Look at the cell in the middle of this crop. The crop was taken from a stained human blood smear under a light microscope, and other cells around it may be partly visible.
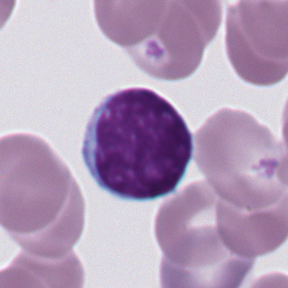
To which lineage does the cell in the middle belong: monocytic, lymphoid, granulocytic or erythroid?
lymphoid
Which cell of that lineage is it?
typical lymphocyte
